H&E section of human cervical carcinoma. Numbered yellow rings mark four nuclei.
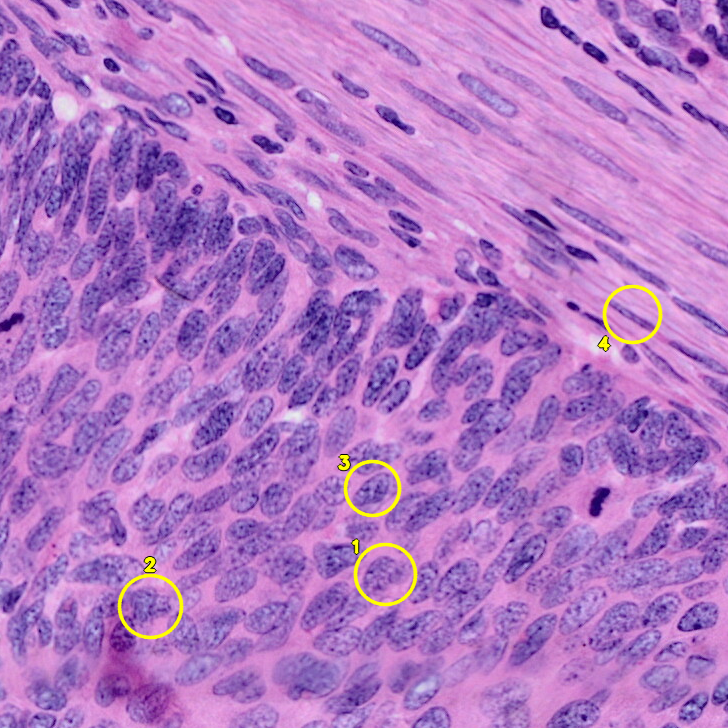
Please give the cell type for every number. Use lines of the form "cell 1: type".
cell 1: squamous carcinoma cell
cell 2: squamous carcinoma cell
cell 3: squamous carcinoma cell
cell 4: fibroblast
